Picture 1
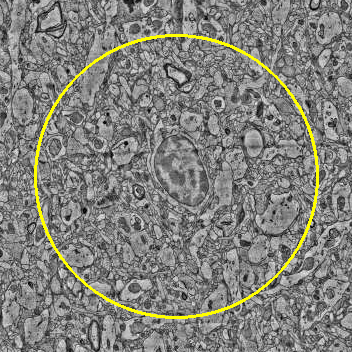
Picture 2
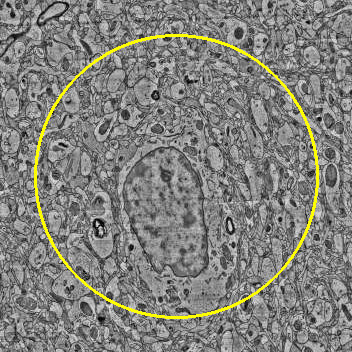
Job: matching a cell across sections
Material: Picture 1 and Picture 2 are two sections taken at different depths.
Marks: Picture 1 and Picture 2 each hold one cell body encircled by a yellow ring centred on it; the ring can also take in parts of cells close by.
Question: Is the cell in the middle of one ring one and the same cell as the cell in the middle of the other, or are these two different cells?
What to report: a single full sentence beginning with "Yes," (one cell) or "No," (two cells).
No, each yellow ring marks its own cell.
